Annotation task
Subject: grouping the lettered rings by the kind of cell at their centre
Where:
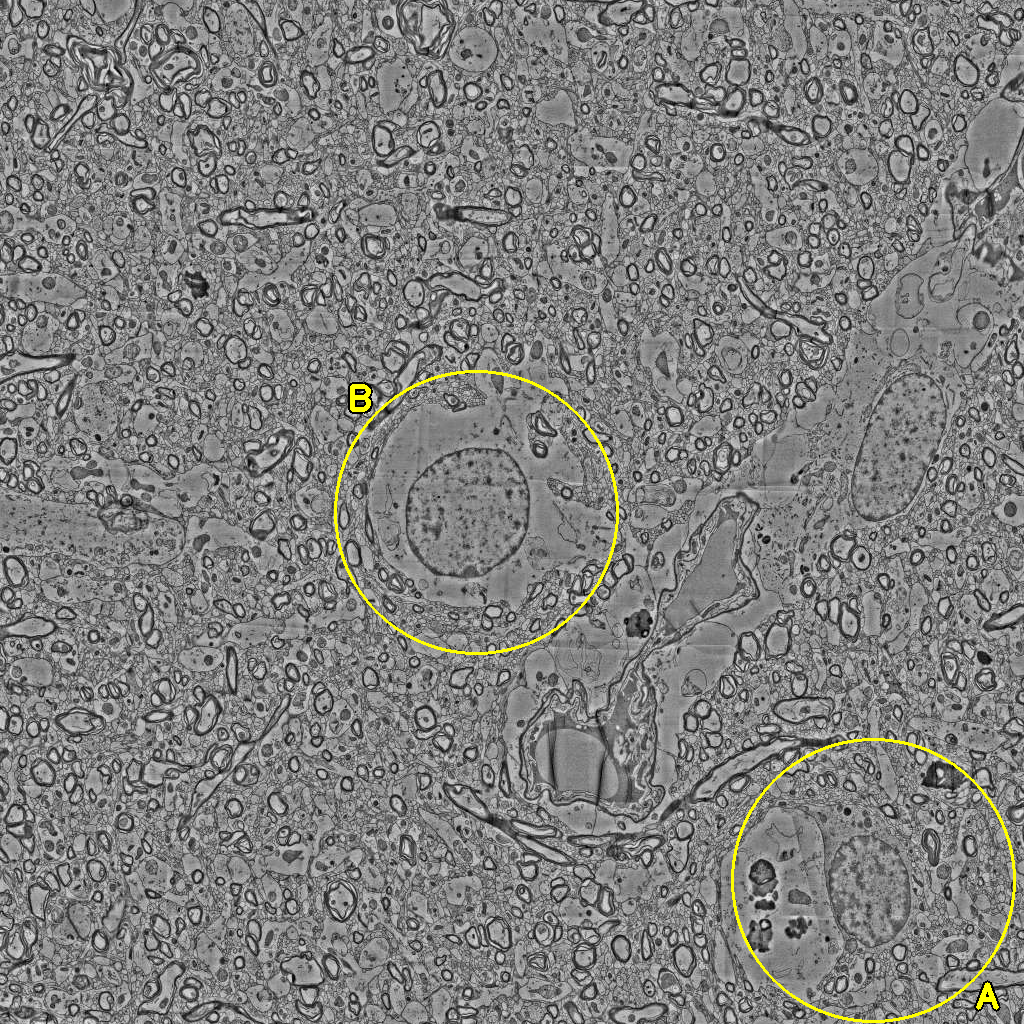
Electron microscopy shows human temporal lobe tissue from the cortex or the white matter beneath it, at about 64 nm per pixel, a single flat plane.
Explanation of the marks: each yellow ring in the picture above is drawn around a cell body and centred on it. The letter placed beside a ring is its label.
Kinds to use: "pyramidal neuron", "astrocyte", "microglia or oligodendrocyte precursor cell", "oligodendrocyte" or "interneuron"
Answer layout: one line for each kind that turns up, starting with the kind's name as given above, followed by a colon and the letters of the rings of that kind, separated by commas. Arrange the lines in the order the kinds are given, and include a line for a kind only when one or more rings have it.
astrocyte: B
oligodendrocyte: A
